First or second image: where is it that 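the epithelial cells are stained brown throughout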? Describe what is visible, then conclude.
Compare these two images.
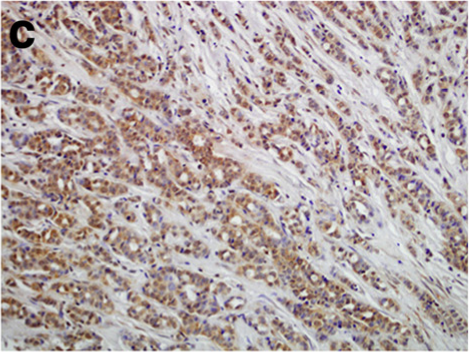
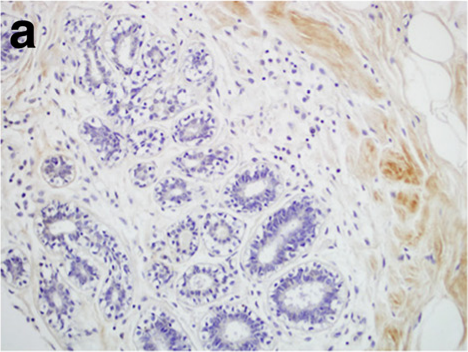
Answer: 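Second image: gland epithelium shows only blue nuclei with no brown colour. So: the first image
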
